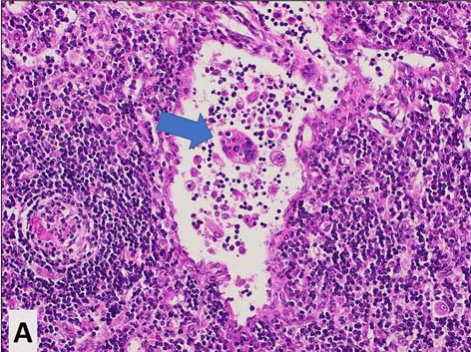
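Lymph node tissue with a widened, open sinus running between densely cellular lymphoid areas. The lymphoid areas are packed with small round cells bearing dark purple nuclei and scant cytoplasm. At the left edge, a small vessel with a concentrically layered wall is surrounded by lymphoid cells. A few other large cells with pale cytoplasm lie at the sinus margin.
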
